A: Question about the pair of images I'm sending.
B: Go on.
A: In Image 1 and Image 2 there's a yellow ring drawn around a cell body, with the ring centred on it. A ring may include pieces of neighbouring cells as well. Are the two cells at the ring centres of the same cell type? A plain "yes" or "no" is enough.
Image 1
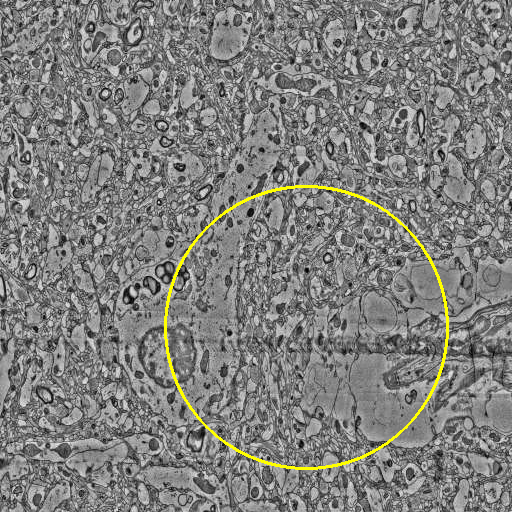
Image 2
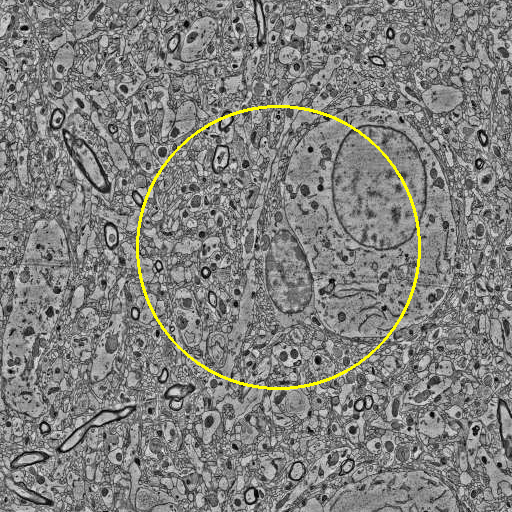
yes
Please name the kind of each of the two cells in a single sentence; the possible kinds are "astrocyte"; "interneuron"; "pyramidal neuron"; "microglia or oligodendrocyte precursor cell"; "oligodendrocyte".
Each one of the two ringed cells is an oligodendrocyte.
